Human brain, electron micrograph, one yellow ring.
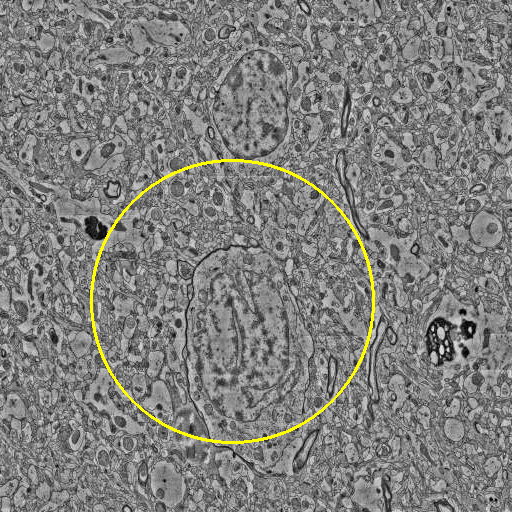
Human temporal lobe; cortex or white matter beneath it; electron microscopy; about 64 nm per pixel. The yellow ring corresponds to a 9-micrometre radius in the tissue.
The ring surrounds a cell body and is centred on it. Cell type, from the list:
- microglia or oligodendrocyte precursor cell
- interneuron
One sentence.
The yellow ring circles an interneuron.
